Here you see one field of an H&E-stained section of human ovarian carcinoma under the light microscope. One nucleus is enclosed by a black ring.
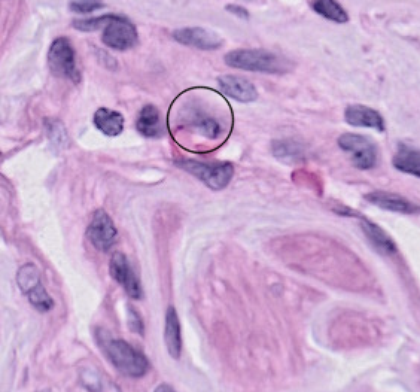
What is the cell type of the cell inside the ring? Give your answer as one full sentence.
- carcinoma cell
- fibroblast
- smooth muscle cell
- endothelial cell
So far as cell type goes, the cell inside the ring is an endothelial cell.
